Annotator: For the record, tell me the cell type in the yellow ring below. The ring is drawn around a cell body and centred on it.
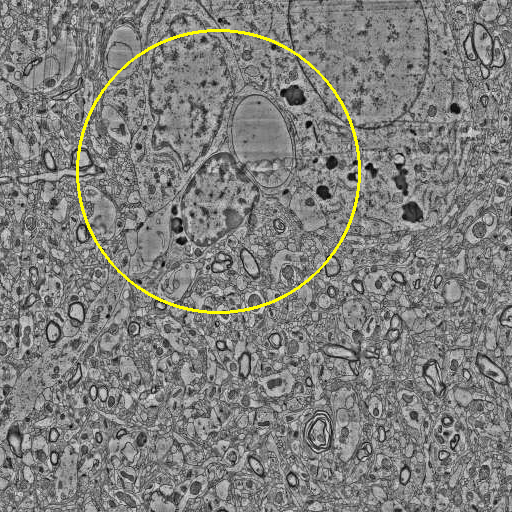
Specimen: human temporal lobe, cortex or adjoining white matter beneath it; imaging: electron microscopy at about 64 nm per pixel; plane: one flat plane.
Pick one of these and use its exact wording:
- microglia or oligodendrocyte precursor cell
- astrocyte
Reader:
microglia or oligodendrocyte precursor cell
